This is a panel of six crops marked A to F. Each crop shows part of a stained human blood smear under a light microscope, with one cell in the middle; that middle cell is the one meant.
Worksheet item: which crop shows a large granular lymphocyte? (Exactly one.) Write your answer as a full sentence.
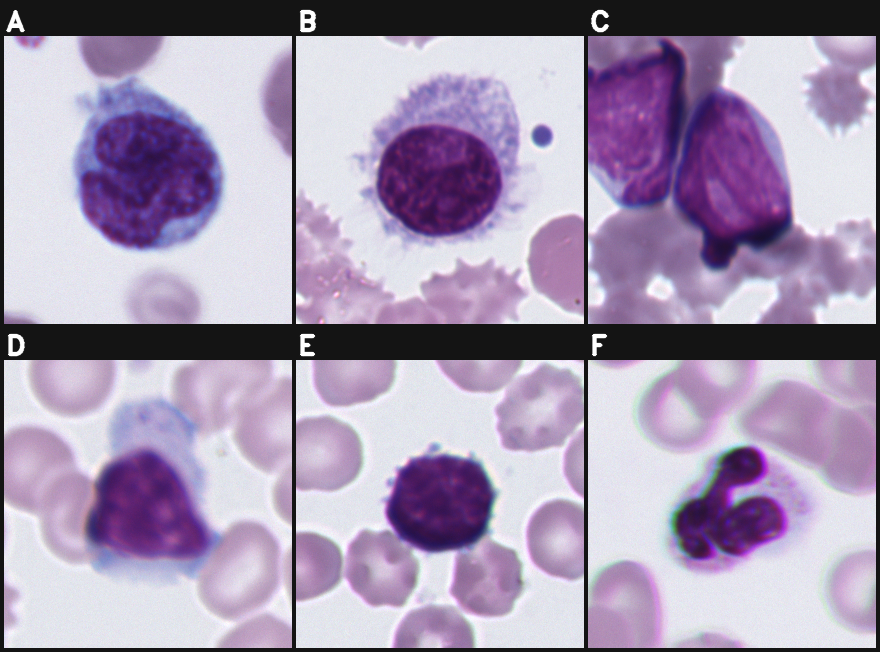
Crop D is the crop whose central cell is a large granular lymphocyte.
